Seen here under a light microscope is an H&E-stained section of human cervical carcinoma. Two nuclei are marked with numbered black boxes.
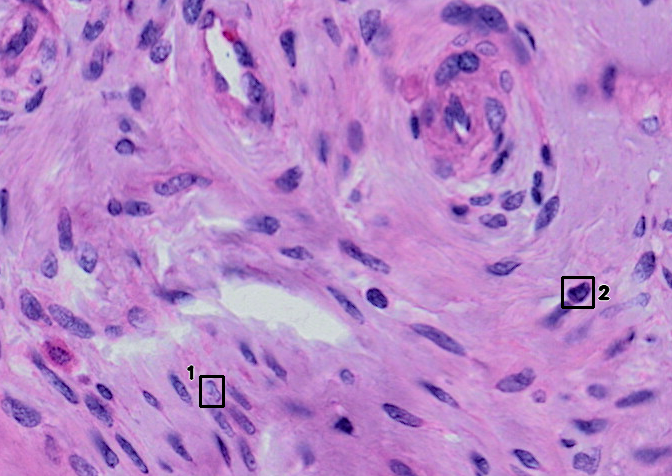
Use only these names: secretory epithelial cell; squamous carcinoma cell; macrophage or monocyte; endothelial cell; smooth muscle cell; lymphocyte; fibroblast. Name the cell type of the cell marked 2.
lymphocyte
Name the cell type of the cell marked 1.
smooth muscle cell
